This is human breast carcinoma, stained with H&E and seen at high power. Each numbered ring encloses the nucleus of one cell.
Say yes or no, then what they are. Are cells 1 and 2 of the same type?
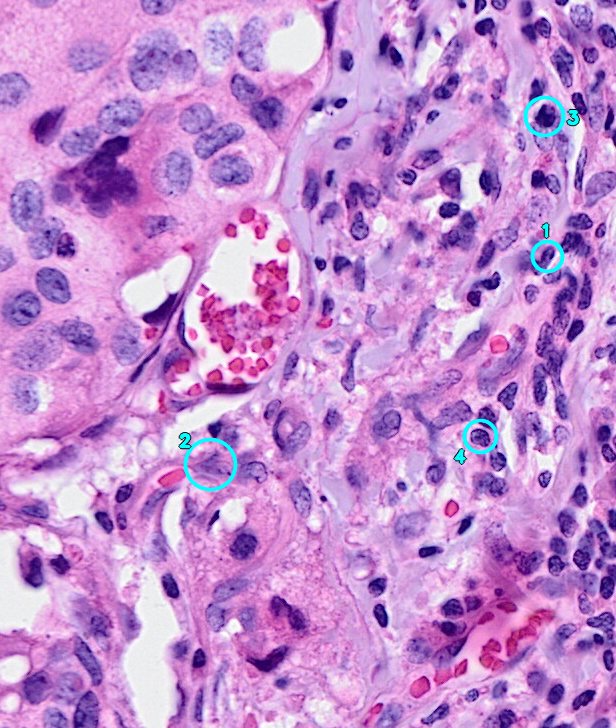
No, cell 1 is a lymphocyte, whereas cell 2, for its part, is an endothelial cell.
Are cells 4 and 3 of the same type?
Yes, of the numbered cells, 4 and 3 are both lymphocytes.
